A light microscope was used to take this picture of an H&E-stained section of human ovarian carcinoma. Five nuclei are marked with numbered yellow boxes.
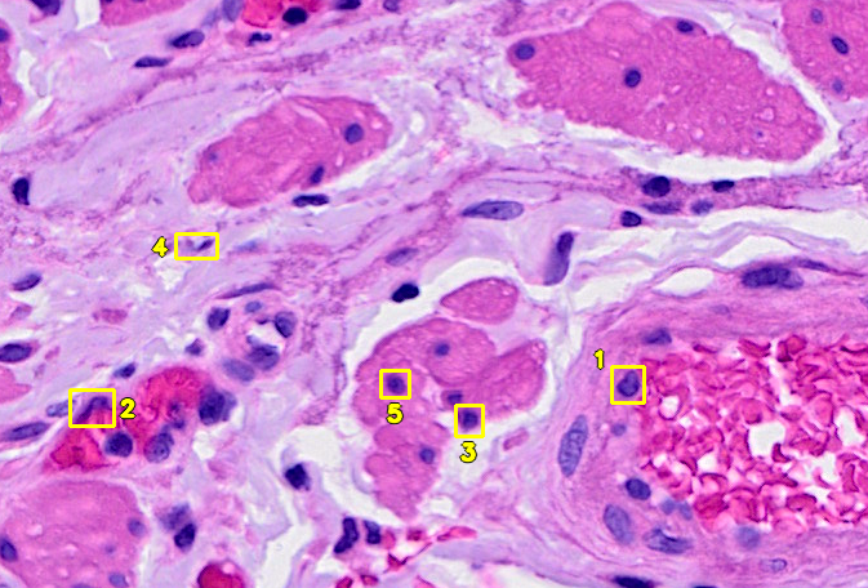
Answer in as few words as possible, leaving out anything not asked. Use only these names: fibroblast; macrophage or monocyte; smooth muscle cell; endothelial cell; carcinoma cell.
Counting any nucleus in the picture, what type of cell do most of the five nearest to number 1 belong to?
endothelial cell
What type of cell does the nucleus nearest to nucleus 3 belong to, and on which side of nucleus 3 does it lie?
a smooth muscle cell above and to the left of nucleus 3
